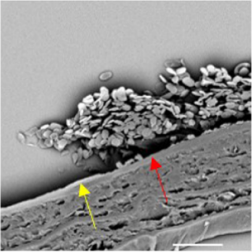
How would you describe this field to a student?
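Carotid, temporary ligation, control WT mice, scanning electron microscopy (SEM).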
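A layered arterial wall is seen in cross-section, with a heap of small, flattened, disc-like platelets piled on its luminal surface to form a thrombus. Where the platelet mass sits, the endothelial surface beneath is disrupted. Beside it, a stretch of the wall surface stays smooth and free of platelets.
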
